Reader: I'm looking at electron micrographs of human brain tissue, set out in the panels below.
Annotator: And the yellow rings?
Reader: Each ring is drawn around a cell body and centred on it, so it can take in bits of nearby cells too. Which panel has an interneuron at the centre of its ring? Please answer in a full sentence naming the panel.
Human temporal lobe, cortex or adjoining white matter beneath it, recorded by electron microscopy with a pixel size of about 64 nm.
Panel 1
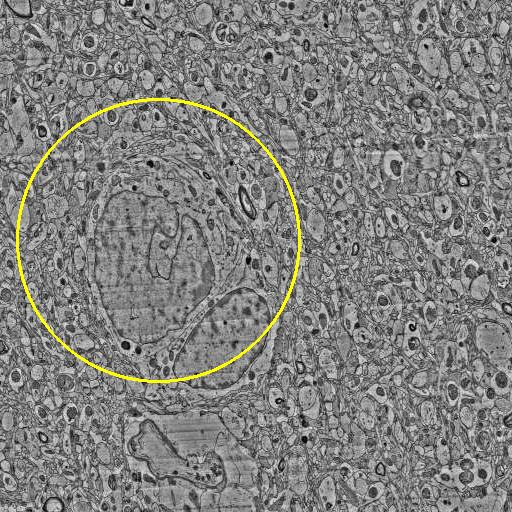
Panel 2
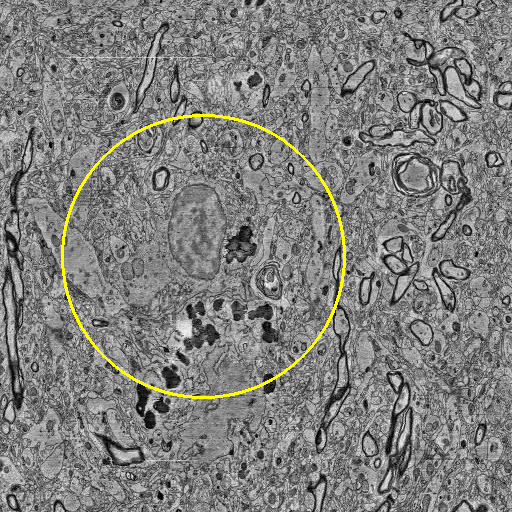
Panel 1 has it at the centre of its ring.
